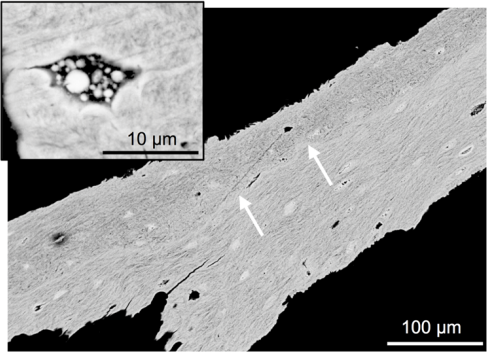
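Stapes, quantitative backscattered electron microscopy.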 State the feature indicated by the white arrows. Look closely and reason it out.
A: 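The white arrows point to a thin line running obliquely across the bone. So: mineralized cement line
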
